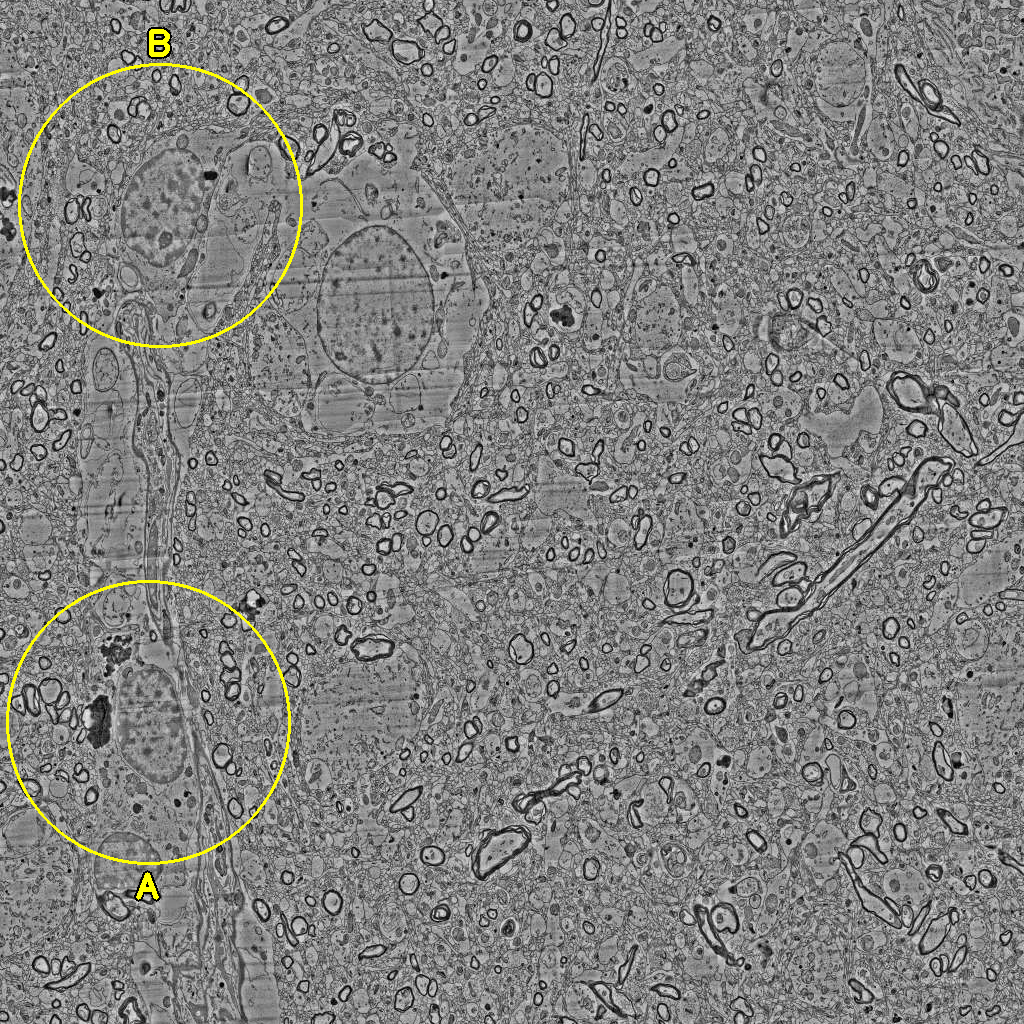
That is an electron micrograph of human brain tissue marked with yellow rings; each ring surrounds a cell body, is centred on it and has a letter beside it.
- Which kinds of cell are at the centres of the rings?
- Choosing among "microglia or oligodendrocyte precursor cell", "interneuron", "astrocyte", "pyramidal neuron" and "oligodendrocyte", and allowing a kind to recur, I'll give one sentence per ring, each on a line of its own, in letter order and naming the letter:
Ring A sits around an oligodendrocyte.
Ring B sits around an oligodendrocyte.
